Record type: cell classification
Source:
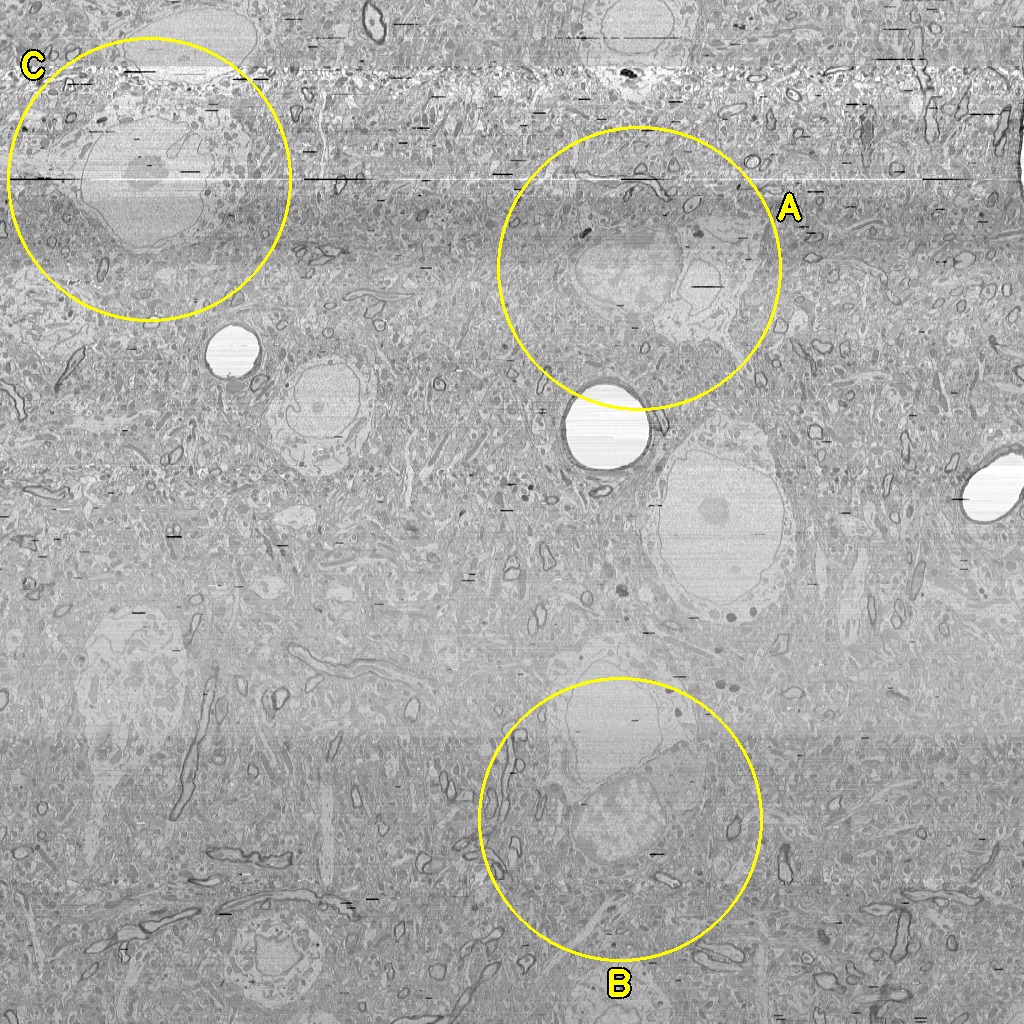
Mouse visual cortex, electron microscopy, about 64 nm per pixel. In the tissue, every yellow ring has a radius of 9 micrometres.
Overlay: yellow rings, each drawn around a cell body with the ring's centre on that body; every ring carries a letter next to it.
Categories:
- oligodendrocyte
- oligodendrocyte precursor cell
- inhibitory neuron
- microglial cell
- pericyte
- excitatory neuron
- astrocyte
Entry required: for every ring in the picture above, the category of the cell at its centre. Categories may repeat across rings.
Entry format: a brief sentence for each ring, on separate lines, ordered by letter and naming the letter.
At the centre of ring A lies an oligodendrocyte.
At the centre of ring B lies an oligodendrocyte.
At the centre of ring C lies an excitatory neuron.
